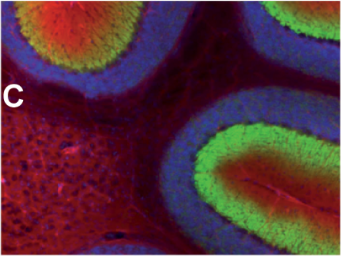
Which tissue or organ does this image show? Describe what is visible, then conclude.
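Folded lobules with curved bands. Distinct layered bands of blue, green and red around each fold. So: cerebellum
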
